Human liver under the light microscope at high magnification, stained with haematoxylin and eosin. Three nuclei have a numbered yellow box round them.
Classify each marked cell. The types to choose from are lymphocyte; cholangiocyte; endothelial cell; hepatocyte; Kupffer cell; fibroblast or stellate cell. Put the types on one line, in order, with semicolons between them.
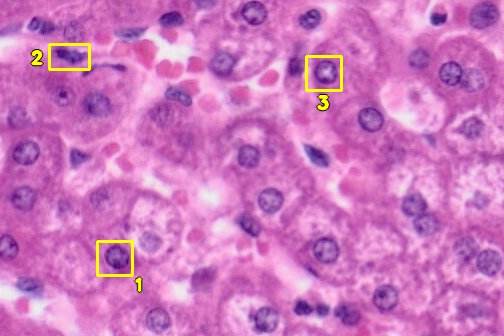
hepatocyte; fibroblast or stellate cell; hepatocyte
